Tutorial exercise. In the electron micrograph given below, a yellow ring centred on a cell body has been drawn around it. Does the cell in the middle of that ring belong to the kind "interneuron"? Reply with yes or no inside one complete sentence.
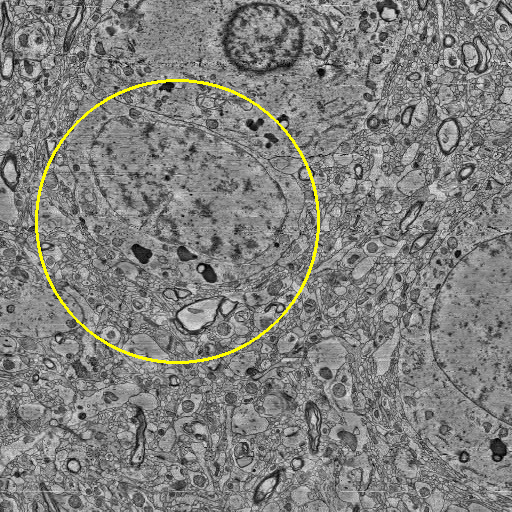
Yes, the cell at the centre of the ring in the picture is of that kind.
